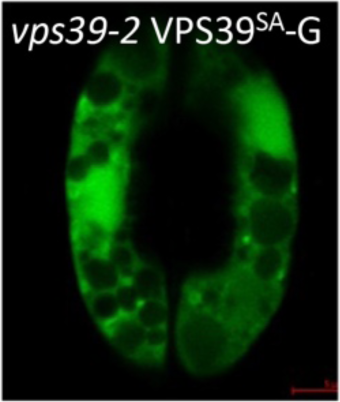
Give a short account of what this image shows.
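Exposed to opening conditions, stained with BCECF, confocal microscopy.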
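A stoma of two paired guard cells is seen around a dark central pore, with vacuoles that are highly fragmented. Instead of an even interior, each guard cell is crowded with many small round compartments of varying size, each outlined by a green rim. Larger brighter green patches lie among these compartments. The overall oval outline of the stoma is kept.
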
